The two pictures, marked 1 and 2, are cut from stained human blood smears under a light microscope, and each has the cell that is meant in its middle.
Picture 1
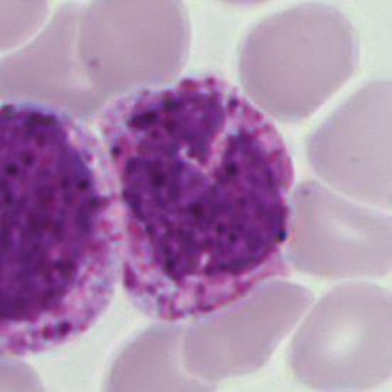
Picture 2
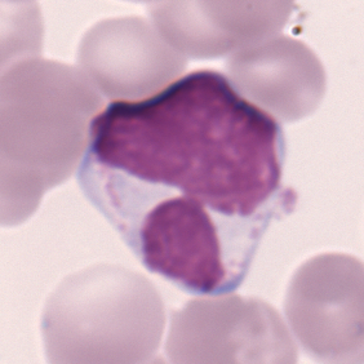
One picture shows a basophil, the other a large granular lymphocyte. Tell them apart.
1: basophil
2: large granular lymphocyte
